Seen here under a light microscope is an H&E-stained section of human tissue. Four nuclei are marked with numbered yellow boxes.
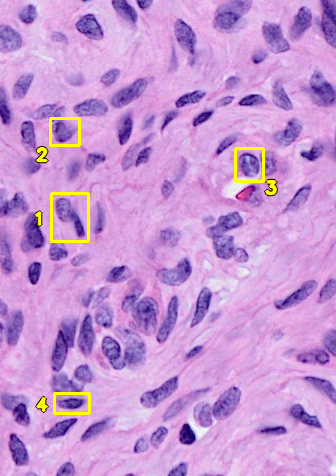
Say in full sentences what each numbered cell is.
Cell 1 is a fibroblast, cell 2 is a fibroblast, cell 3 is an endothelial cell and cell 4 is a fibroblast.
